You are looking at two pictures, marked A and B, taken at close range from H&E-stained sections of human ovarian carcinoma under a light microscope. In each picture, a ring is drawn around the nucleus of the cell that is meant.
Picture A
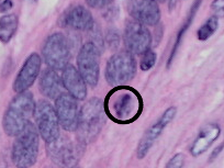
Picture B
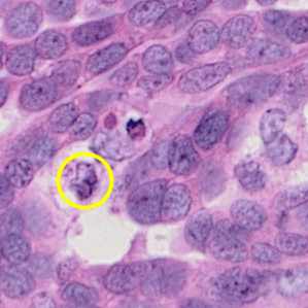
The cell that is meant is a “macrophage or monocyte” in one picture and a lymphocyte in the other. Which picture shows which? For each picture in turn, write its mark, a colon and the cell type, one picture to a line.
A: lymphocyte
B: macrophage or monocyte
